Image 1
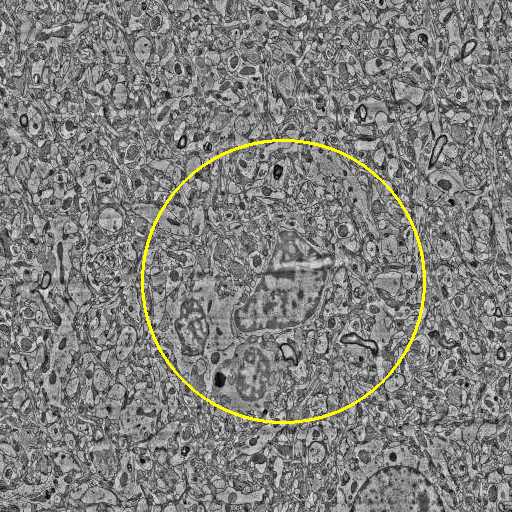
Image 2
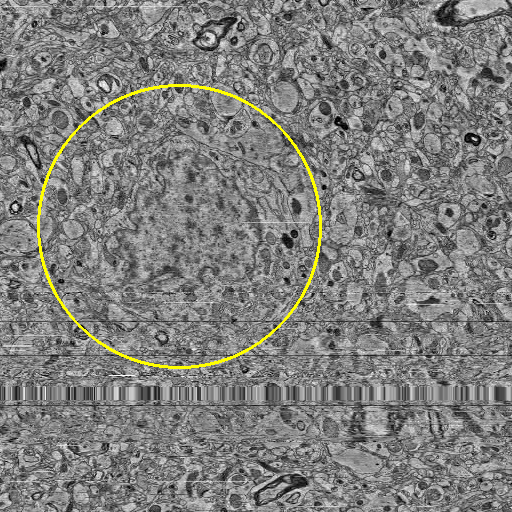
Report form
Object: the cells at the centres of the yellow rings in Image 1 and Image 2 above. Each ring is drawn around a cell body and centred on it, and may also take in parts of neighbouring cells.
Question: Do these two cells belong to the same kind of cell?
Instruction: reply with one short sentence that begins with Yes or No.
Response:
No, they belong to two kinds of cell.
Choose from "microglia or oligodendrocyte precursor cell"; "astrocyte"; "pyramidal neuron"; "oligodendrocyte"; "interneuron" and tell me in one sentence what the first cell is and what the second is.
What the first ring is centred on is a microglial cell or oligodendrocyte precursor cell; what the second ring is centred on is an interneuron.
